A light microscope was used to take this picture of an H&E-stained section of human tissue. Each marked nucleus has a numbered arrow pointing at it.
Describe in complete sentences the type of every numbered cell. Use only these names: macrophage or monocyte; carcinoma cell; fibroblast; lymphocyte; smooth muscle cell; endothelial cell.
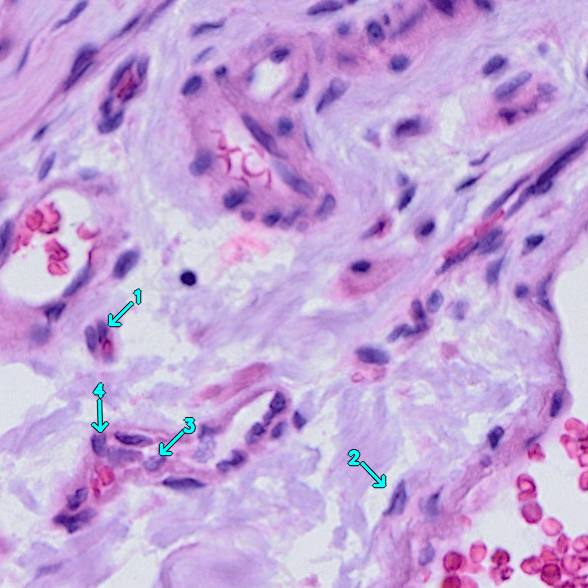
Cell 1 is an endothelial cell, cell 2 is a fibroblast, cell 3 is an endothelial cell and cell 4 is an endothelial cell.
